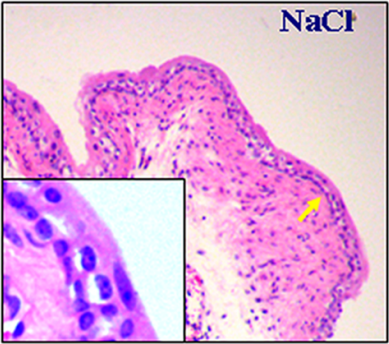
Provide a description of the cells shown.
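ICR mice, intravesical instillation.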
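This is a section of the bladder wall, with the urothelium lining a folded luminal surface. The lining is a continuous band of several layers of closely packed cells with purple nuclei. Beneath it lies a broad pale pink layer of loose connective tissue with scattered elongated nuclei. In the enlarged inset the lining cells have rounded to oval, darkly stained nuclei and pale pink cytoplasm, stacked neatly along the surface. No free red blood cells or breaks in the lining are evident.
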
